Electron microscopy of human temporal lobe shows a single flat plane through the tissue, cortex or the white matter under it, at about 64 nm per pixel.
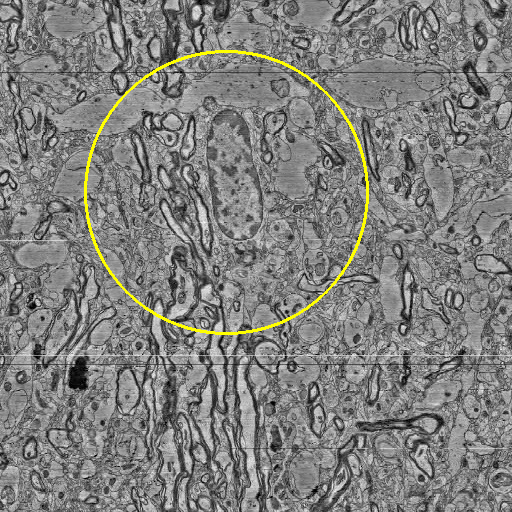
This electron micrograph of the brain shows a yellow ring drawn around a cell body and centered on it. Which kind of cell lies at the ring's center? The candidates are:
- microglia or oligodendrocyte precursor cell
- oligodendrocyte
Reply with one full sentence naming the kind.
The cell lying at the ring's center in this micrograph is a microglial cell or oligodendrocyte precursor cell.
